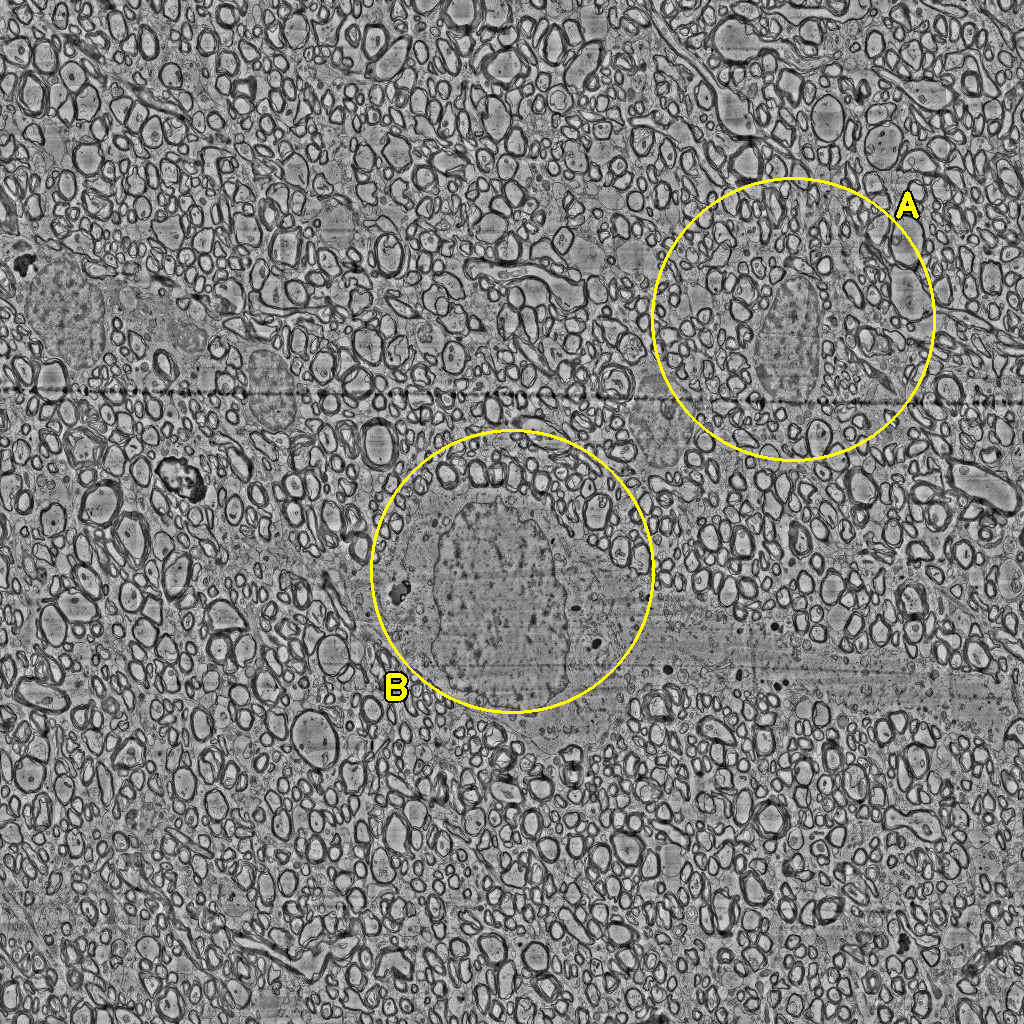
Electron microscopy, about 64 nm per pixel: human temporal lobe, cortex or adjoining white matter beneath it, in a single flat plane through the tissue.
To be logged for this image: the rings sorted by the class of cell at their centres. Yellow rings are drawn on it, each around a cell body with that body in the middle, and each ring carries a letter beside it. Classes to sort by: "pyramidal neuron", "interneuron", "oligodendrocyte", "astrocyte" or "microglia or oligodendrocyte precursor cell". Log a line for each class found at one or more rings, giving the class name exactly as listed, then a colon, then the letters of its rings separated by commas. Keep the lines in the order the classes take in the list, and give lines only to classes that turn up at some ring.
pyramidal neuron: B
oligodendrocyte: A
